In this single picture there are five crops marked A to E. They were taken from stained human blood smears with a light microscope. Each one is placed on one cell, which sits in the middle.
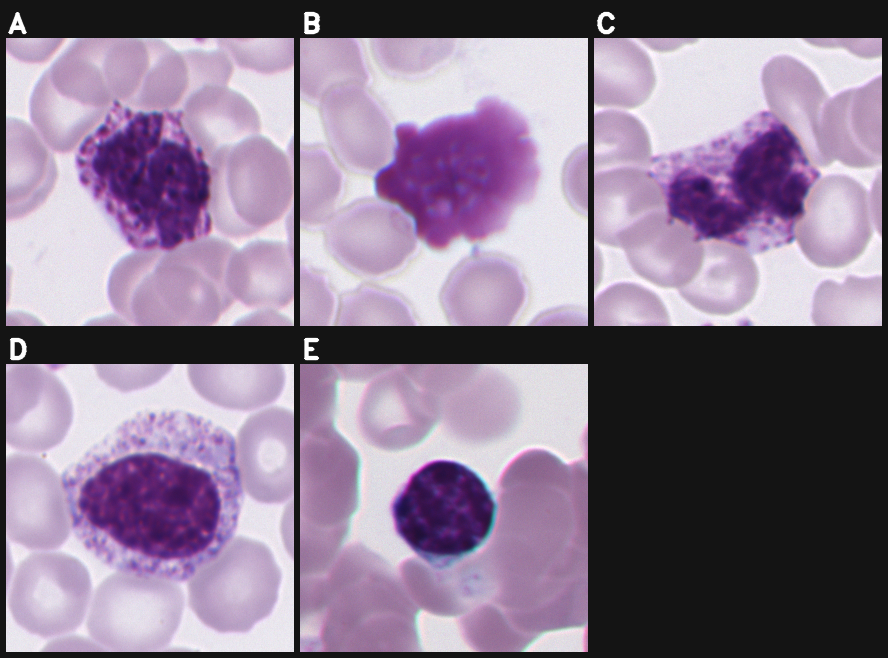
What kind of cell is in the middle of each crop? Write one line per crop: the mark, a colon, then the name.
A: basophil
B: smudge cell
C: basophil
D: myelocyte
E: typical lymphocyte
